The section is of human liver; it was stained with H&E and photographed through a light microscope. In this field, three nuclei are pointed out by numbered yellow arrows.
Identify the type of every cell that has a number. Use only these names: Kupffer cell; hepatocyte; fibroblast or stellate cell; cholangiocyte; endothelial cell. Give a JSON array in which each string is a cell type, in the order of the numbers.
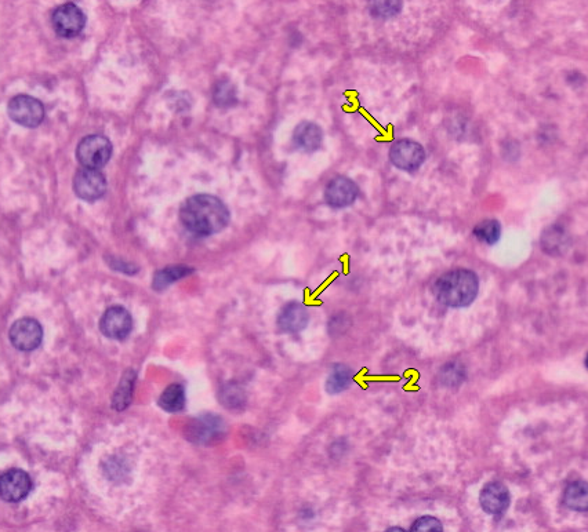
["hepatocyte", "endothelial cell", "hepatocyte"]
